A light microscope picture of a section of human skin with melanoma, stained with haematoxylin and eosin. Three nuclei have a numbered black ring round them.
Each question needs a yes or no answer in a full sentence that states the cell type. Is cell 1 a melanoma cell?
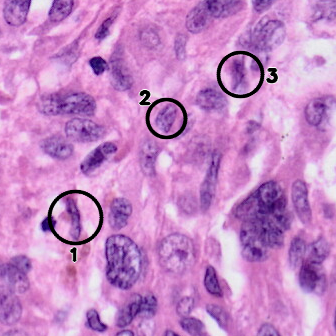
No; cell 1 is a macrophage or monocyte, not a melanoma cell.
